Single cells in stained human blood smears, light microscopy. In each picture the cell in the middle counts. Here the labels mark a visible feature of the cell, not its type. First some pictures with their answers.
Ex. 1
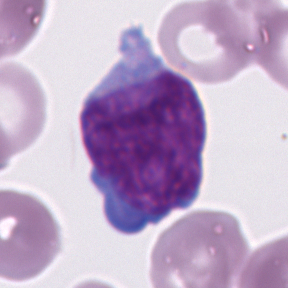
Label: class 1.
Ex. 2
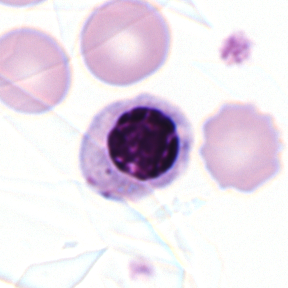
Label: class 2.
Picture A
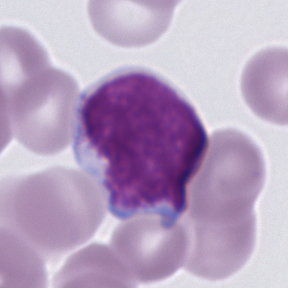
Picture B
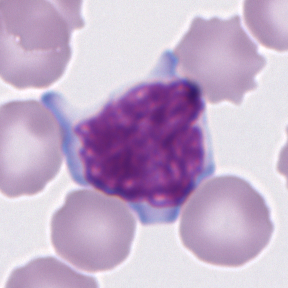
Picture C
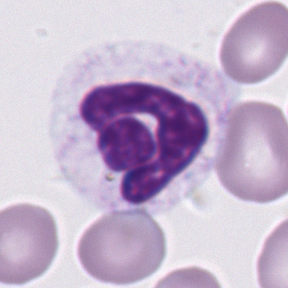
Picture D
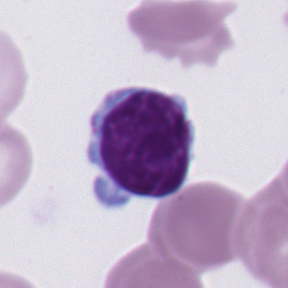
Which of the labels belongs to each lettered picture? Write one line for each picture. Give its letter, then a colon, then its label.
A: class 1.
B: class 1.
C: class 2.
D: class 1.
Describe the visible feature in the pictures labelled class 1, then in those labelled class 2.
In class 1: ragged outline or projections. In class 2: smooth outline.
